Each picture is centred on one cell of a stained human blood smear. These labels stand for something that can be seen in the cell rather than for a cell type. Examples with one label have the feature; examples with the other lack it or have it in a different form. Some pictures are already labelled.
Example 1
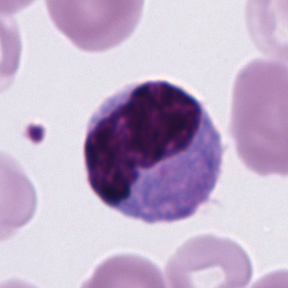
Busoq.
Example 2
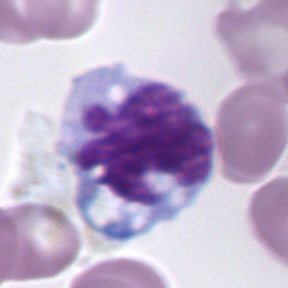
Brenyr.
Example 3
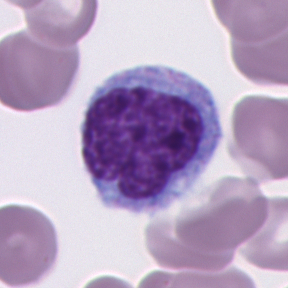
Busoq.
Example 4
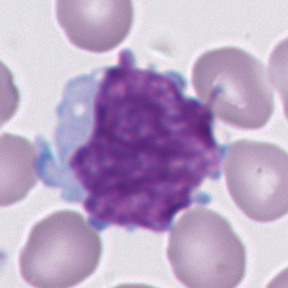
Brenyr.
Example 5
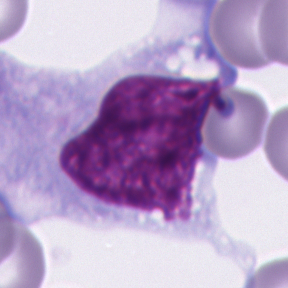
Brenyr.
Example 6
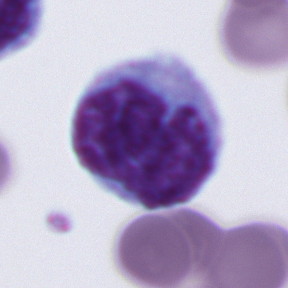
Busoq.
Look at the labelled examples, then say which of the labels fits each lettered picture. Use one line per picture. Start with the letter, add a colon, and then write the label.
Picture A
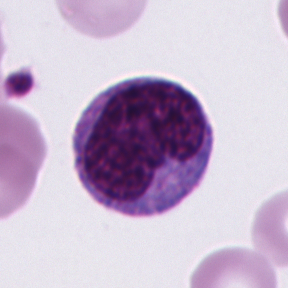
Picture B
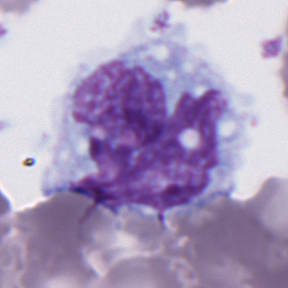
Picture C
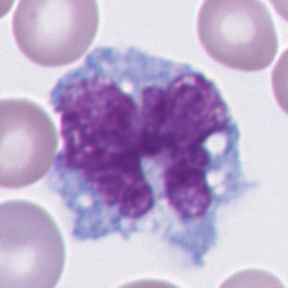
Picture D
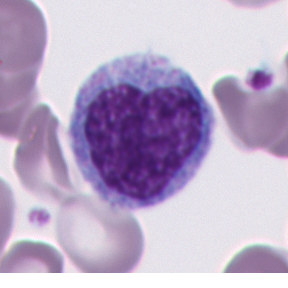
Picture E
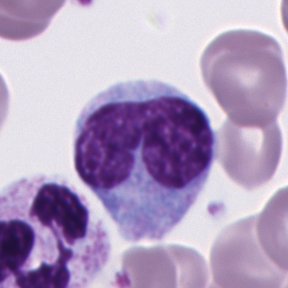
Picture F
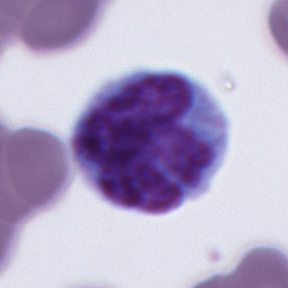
A: Busoq.
B: Brenyr.
C: Brenyr.
D: Busoq.
E: Busoq.
F: Busoq.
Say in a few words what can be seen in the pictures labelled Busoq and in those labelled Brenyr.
In Busoq: no vacuoles. In Brenyr: vacuoles present.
